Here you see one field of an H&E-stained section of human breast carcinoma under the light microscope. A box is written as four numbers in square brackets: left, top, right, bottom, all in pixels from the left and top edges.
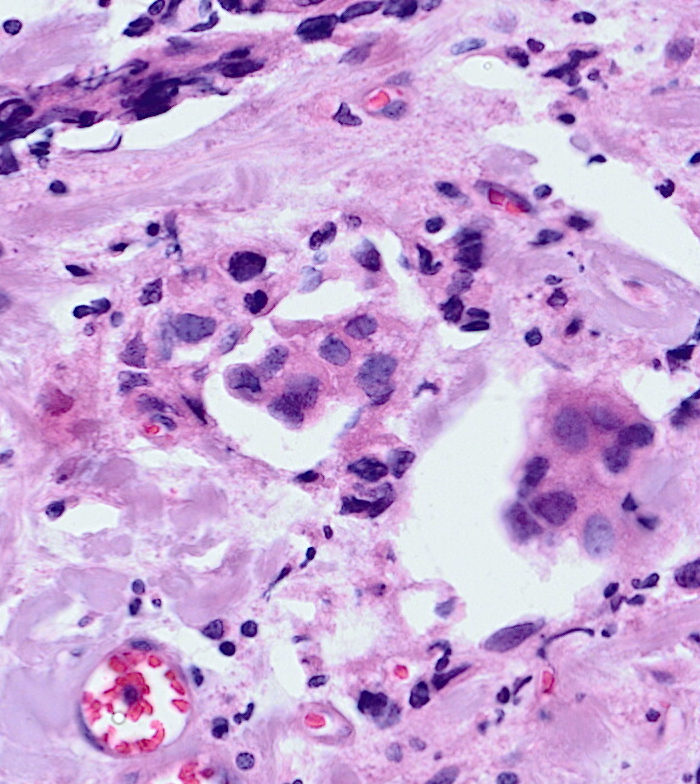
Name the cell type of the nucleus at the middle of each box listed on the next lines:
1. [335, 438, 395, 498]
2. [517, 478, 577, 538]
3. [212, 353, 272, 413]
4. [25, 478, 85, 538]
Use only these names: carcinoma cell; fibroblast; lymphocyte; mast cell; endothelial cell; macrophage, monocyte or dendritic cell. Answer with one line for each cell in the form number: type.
1: carcinoma cell
2: carcinoma cell
3: carcinoma cell
4: lymphocyte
